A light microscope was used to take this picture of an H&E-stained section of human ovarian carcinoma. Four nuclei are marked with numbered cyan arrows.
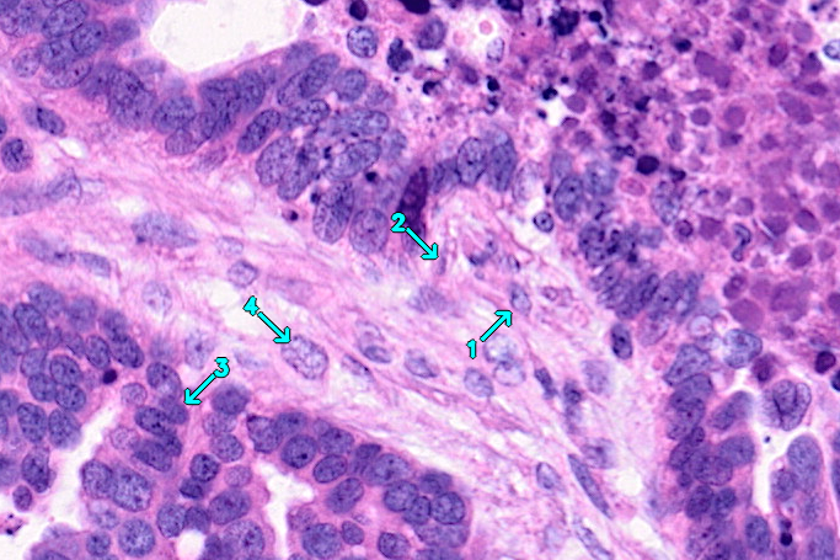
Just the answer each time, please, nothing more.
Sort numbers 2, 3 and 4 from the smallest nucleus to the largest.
2, 3, 4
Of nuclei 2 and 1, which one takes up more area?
1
